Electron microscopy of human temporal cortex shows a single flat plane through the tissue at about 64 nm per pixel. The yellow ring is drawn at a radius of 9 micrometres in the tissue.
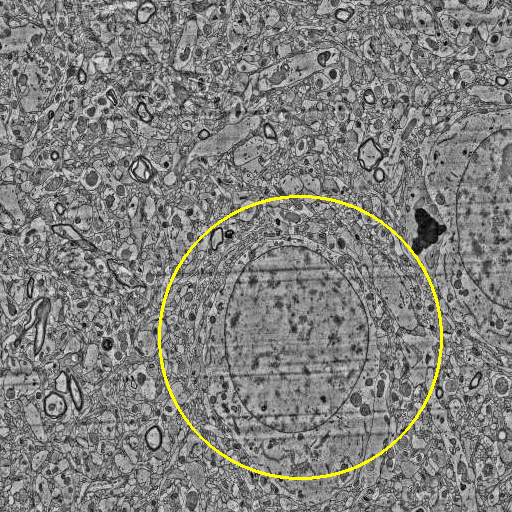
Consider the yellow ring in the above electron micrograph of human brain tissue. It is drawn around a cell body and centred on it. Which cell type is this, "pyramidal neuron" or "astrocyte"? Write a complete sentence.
The cell in question is a pyramidal neuron.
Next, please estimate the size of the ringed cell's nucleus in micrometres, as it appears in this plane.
Approximately 11 micrometers across in this plane.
